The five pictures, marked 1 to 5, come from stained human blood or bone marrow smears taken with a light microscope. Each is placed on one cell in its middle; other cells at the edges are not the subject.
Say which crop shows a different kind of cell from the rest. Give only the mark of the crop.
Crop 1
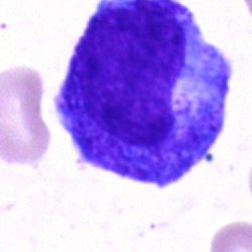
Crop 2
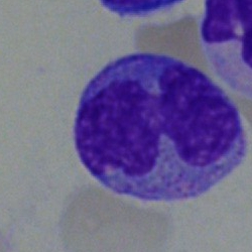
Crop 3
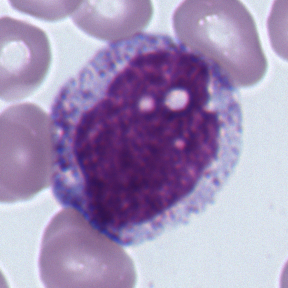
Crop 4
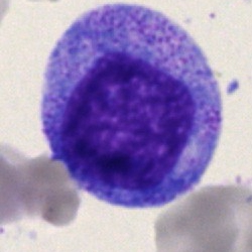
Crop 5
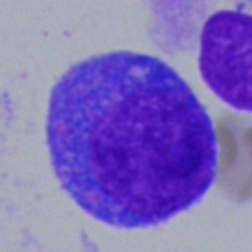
2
